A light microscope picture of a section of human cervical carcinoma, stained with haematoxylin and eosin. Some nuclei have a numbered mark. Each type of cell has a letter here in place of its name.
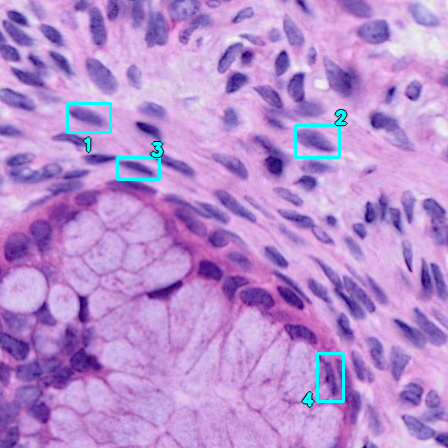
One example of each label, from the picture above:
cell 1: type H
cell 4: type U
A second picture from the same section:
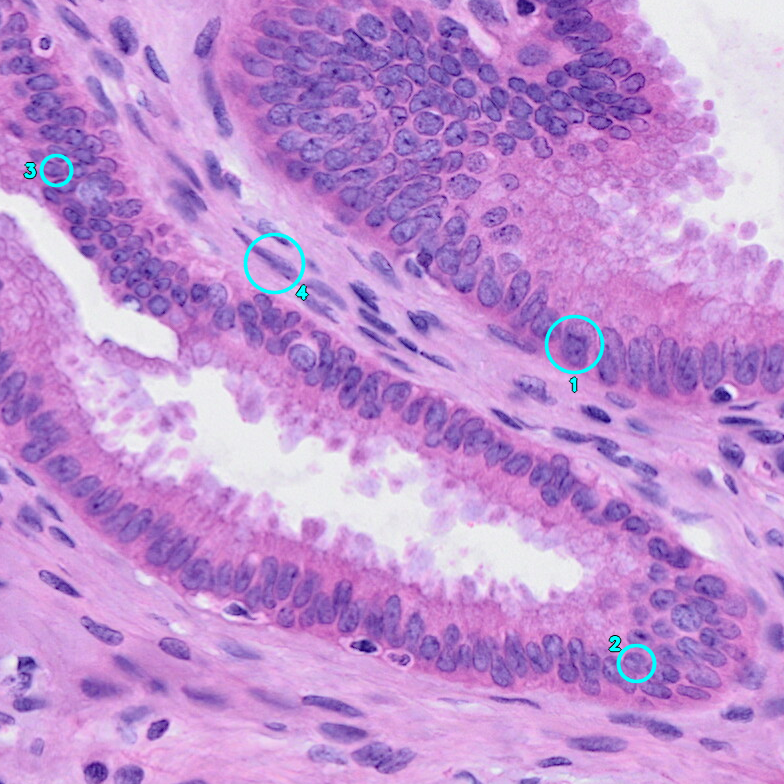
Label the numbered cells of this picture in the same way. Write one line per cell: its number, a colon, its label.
1: type U
2: type U
3: type U
4: type H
